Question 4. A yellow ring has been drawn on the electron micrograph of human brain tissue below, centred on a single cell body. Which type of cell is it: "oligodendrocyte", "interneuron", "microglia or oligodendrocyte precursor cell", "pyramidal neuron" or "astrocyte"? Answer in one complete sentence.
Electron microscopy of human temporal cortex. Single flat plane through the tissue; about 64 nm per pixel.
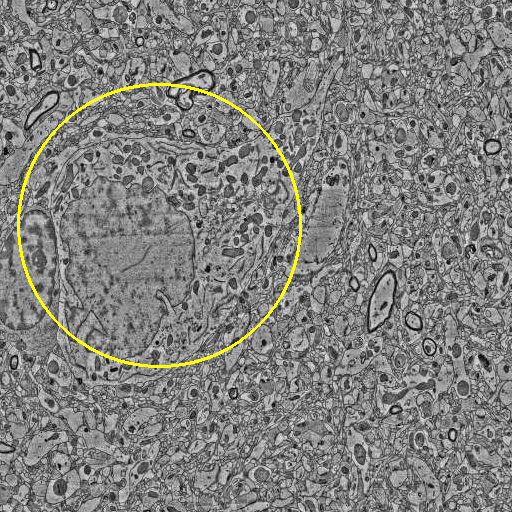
This cell body belongs to an interneuron.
